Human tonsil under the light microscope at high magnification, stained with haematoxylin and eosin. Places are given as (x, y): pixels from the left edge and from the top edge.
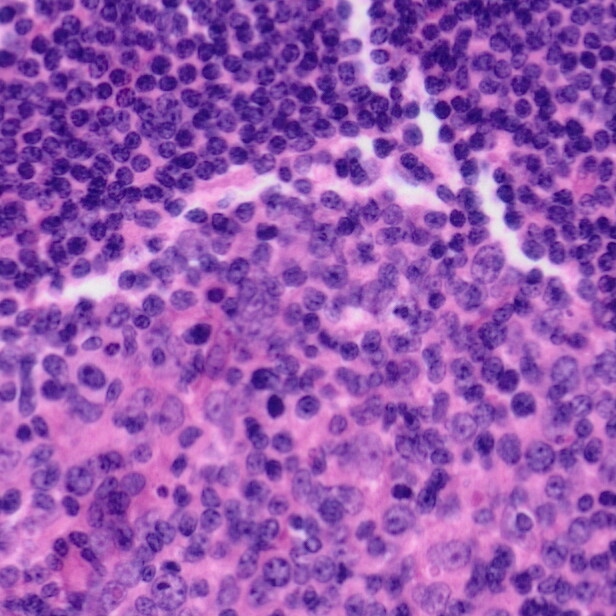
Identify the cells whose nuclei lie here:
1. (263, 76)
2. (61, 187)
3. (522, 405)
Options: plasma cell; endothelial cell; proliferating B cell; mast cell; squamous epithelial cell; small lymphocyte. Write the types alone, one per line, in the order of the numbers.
small lymphocyte
small lymphocyte
proliferating B cell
